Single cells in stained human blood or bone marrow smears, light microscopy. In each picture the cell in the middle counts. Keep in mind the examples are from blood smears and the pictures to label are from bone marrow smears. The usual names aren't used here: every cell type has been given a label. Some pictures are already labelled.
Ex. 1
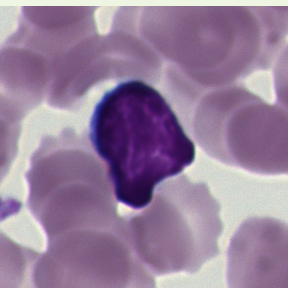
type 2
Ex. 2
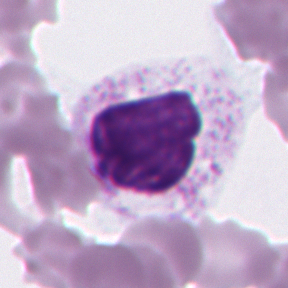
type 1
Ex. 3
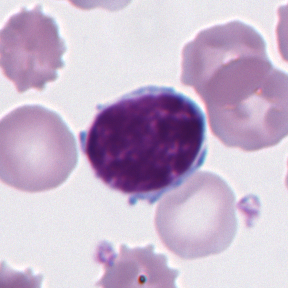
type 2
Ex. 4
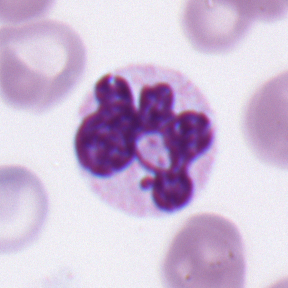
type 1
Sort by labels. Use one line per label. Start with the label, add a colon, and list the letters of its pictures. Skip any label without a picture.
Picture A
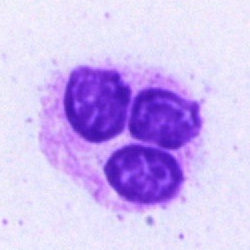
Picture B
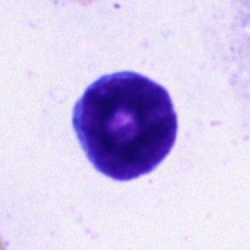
type 2: B
type 1: A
